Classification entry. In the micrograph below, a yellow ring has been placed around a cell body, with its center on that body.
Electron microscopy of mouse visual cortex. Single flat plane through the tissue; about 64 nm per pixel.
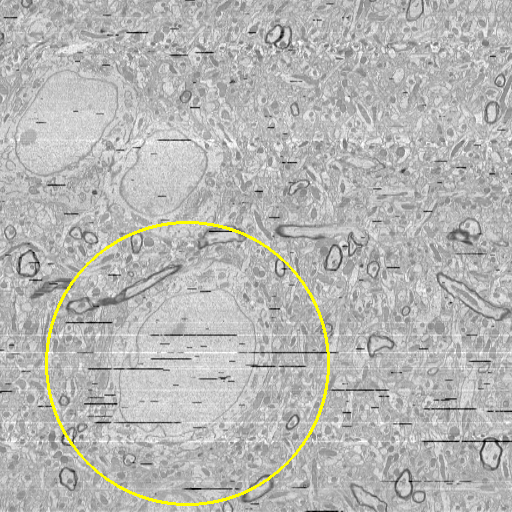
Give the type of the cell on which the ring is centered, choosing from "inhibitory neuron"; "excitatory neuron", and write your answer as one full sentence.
The cell body at the center of the yellow ring belongs to an excitatory neuron.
